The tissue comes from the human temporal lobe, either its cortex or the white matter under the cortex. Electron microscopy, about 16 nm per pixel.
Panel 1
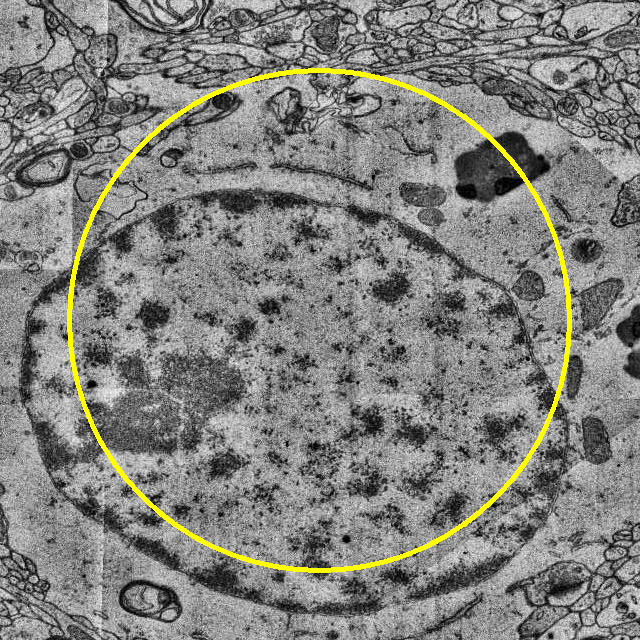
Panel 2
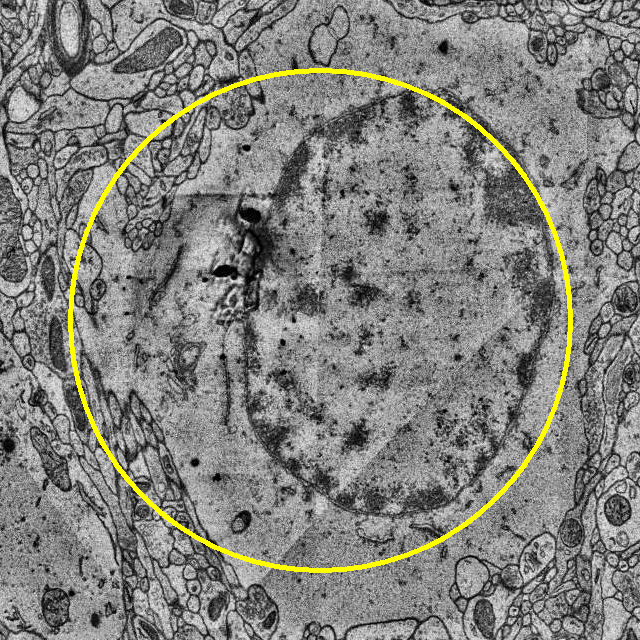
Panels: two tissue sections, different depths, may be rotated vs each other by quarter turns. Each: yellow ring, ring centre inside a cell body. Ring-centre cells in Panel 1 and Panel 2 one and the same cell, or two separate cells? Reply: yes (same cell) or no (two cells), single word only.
yes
